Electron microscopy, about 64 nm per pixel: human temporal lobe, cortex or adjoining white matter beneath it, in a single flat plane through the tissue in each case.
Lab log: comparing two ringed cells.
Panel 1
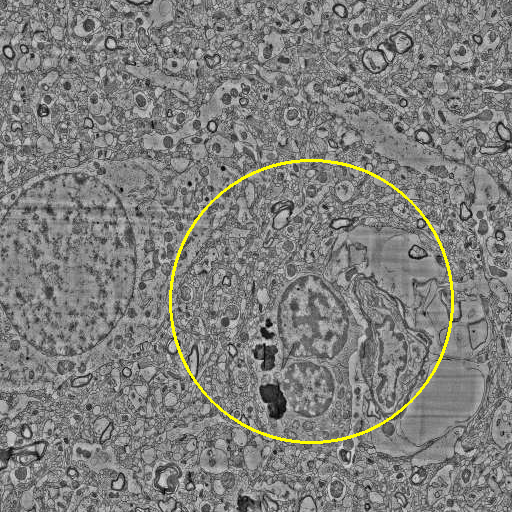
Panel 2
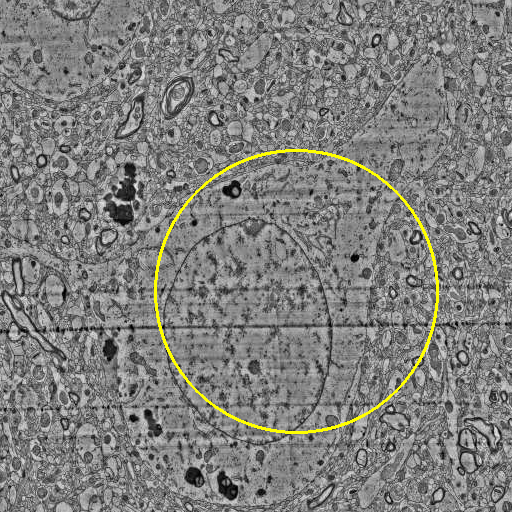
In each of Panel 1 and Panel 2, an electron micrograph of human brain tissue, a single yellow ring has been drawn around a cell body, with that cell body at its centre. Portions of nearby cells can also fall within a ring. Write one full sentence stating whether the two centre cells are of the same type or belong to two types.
The cells at the ring centres in Panel 1 and Panel 2 belong to two types.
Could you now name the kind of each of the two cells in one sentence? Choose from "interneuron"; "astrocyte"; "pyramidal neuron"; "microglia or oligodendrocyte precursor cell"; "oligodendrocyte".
The first ring encloses an oligodendrocyte; the second ring encloses a pyramidal neuron.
